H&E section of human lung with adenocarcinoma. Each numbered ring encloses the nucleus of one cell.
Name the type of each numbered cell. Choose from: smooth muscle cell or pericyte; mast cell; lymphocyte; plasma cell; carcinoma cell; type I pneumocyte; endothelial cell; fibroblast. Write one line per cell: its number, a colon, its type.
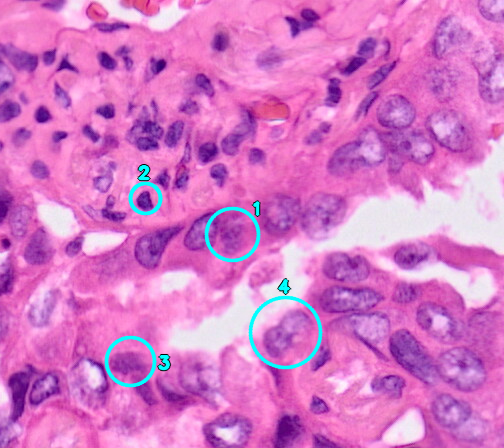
1: carcinoma cell
2: lymphocyte
3: carcinoma cell
4: carcinoma cell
